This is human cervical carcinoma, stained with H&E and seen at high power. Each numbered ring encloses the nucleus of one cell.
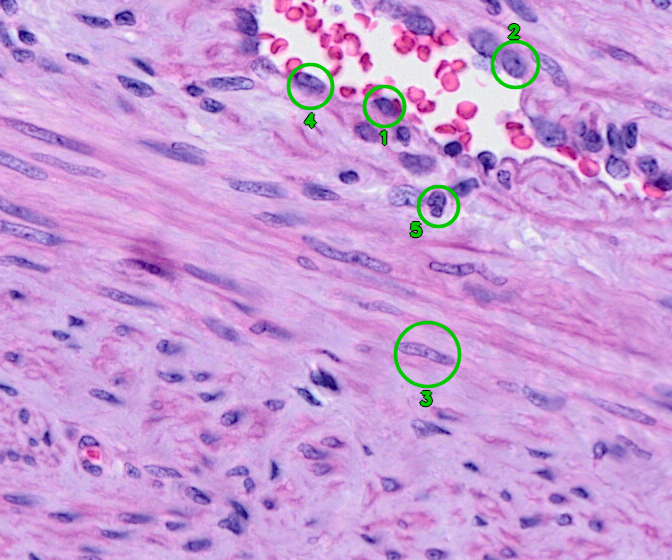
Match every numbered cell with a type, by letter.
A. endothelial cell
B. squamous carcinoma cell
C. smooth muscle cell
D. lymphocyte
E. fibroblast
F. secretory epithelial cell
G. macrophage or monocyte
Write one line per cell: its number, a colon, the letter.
1: A
2: A
3: C
4: A
5: D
